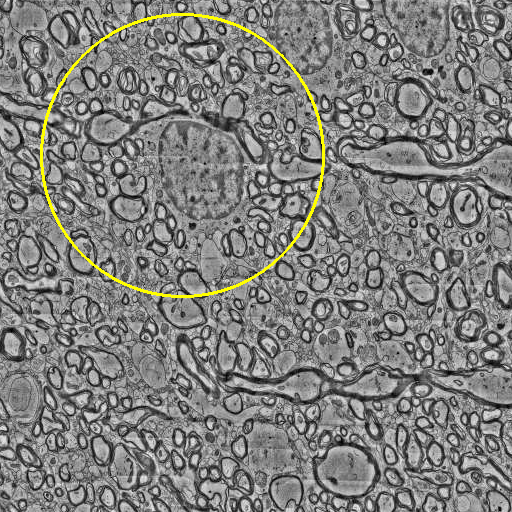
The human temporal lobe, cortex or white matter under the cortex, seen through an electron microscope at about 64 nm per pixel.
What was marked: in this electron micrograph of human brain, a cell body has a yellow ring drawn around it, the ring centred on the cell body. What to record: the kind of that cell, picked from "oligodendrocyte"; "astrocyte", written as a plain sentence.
The centred cell is an oligodendrocyte.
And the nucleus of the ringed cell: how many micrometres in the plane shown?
Approximately 7 micrometres long and 6 micrometres wide, in this plane.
